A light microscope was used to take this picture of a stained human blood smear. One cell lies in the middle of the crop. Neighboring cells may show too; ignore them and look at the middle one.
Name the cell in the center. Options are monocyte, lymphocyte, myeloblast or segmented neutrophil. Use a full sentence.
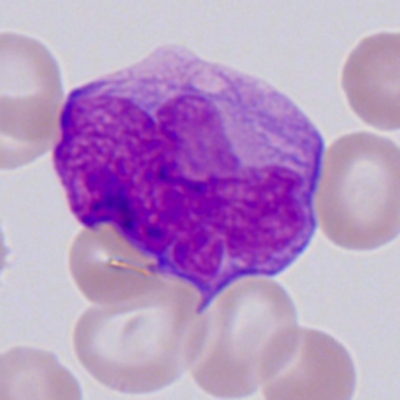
The cell found in the middle of this crop is a myeloblast.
